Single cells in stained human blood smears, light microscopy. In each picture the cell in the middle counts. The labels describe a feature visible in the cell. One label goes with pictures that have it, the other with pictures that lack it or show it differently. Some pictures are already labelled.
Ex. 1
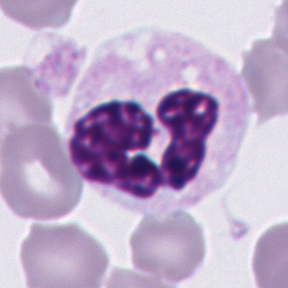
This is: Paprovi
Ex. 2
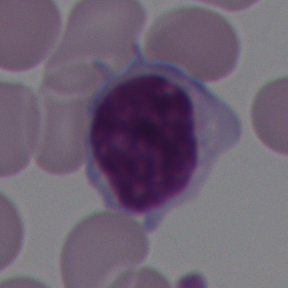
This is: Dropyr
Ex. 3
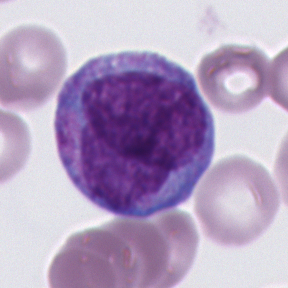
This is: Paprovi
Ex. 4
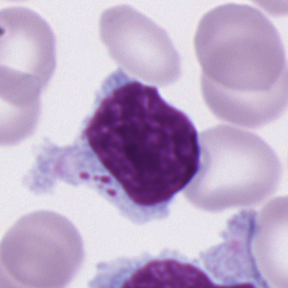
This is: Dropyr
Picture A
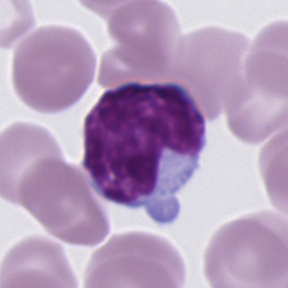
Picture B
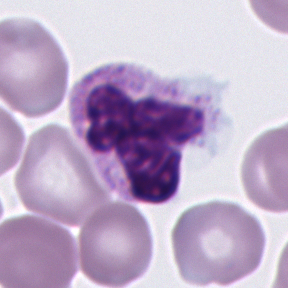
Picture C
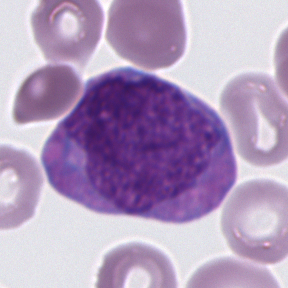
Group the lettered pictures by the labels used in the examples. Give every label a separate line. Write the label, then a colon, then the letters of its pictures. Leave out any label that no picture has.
Paprovi: C
Dropyr: A, B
